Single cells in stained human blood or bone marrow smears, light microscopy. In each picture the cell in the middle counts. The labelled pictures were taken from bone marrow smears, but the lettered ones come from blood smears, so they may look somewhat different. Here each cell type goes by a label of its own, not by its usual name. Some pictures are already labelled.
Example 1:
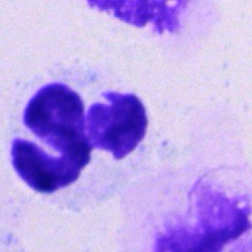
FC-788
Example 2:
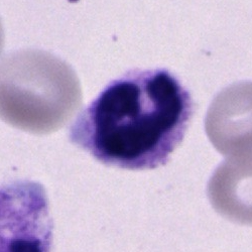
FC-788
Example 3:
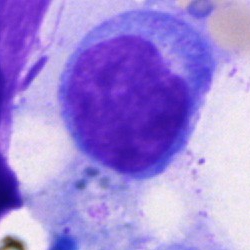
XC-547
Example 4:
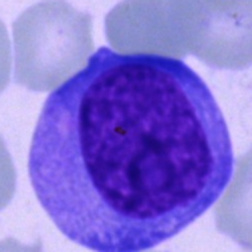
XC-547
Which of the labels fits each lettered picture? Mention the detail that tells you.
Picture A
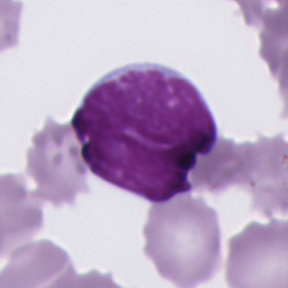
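Label: XC-547. Cytoplasm shows only as a thin crescent along the top edge of the cell.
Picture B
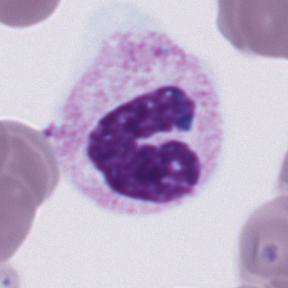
Label: FC-788. The nucleus is bent into a C shape whose notch opens toward the right.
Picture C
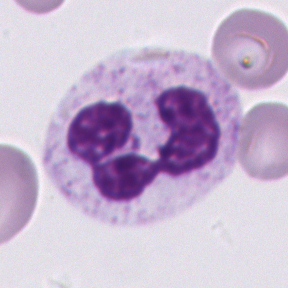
Label: FC-788. The cytoplasm is plentiful and pale lilac-pink.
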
